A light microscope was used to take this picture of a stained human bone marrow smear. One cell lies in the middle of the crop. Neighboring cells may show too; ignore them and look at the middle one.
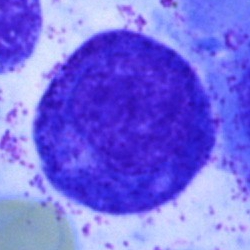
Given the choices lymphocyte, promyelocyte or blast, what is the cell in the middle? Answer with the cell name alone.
promyelocyte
